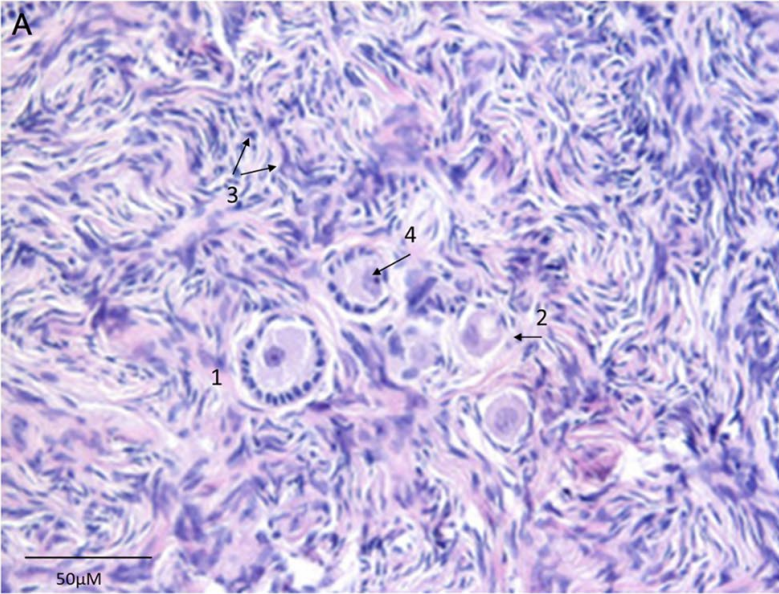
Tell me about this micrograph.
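This is ovarian cortex with small follicles embedded in a dense stroma. The surrounding stroma is made of densely packed spindle-shaped cells with elongated dark purple nuclei arranged in swirling bundles.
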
